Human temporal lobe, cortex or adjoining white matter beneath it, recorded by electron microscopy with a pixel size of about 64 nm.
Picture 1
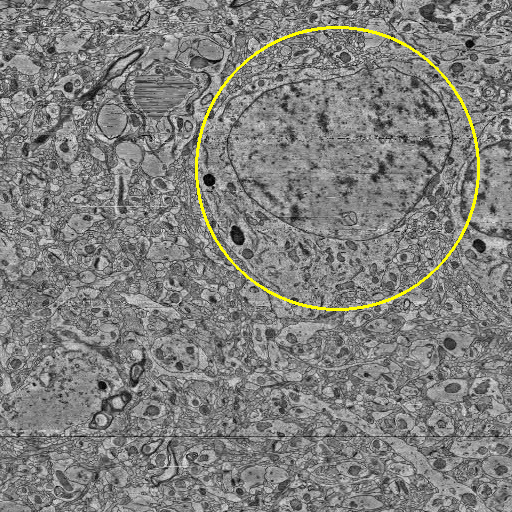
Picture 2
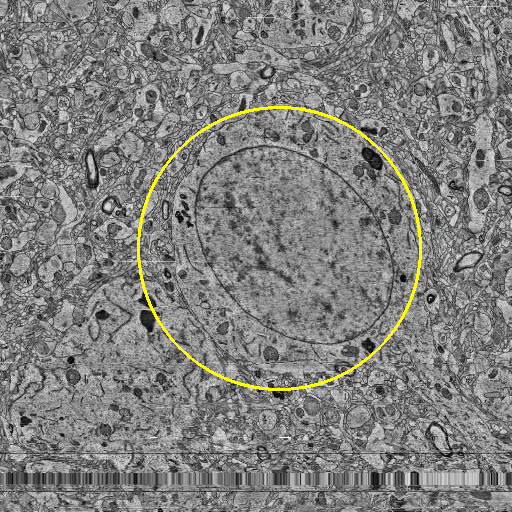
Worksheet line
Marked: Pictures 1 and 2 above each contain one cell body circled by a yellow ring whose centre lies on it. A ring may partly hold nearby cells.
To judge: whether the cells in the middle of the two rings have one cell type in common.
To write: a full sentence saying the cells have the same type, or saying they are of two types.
The cells in the middle of the rings in Picture 1 and Picture 2 have the same type.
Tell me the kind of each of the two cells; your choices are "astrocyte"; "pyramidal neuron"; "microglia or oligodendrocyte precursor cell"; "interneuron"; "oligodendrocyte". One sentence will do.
In each of the two pictures, the ringed cell is a pyramidal neuron.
